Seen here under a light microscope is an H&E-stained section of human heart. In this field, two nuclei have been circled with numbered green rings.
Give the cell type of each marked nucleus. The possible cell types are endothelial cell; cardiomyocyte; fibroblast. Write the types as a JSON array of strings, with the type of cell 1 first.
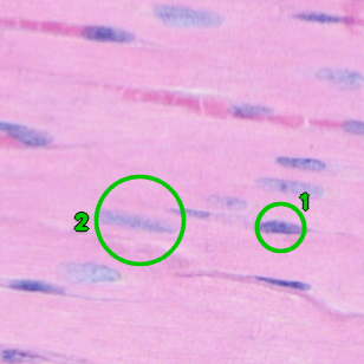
["endothelial cell", "cardiomyocyte"]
